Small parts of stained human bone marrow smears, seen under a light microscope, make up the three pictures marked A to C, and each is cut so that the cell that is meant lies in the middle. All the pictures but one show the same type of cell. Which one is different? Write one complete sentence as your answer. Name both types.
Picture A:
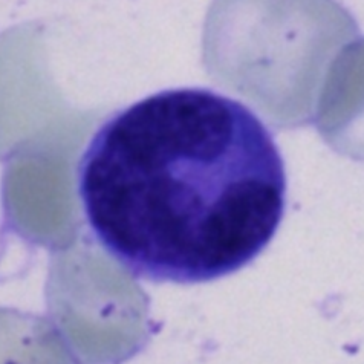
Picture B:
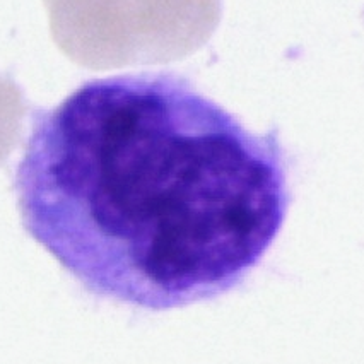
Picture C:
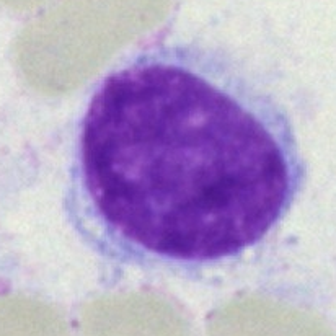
Unlike the rest, which show monocytes, picture C shows a hairy cell.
